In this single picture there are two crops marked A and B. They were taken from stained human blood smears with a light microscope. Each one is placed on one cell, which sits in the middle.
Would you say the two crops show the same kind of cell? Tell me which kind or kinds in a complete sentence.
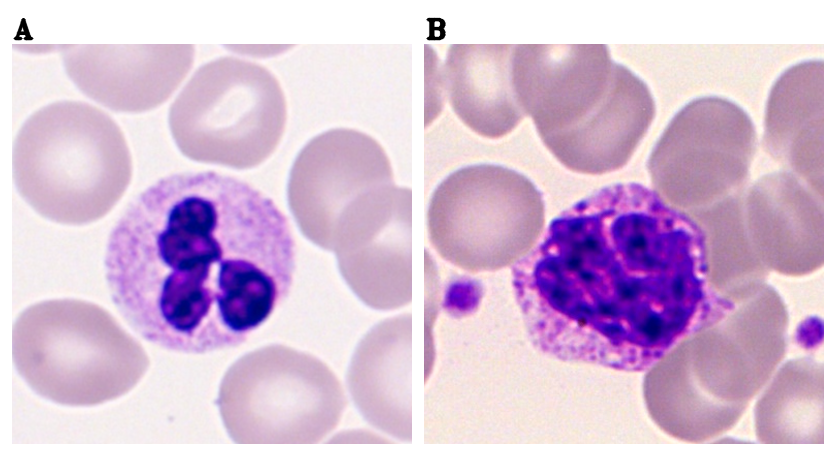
No, crop A holds a segmented neutrophil, and a basophil occupies crop B.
